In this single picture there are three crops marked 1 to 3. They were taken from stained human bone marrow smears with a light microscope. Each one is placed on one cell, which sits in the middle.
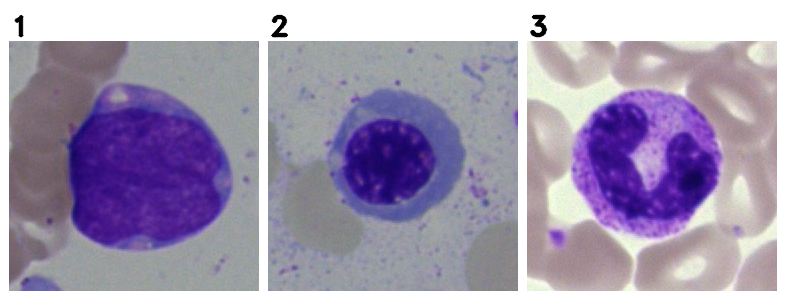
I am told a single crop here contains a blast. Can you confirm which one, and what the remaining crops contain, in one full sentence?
Whereas crop 2 is an erythroblast and crop 3 is a segmented neutrophil, the cell at the centre of crop 1 is a blast.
